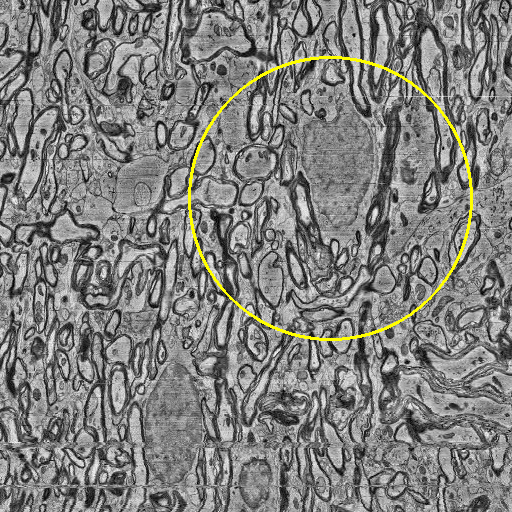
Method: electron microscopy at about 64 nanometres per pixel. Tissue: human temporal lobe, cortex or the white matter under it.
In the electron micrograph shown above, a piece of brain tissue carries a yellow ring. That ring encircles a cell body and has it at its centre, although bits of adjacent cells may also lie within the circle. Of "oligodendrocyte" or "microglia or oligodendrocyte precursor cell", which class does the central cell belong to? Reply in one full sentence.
The cell body at the centre of the yellow ring belongs to an oligodendrocyte.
